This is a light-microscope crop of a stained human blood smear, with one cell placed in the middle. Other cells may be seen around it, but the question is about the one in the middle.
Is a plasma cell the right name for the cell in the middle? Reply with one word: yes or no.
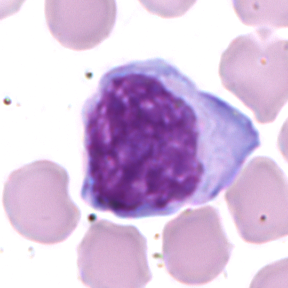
yes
